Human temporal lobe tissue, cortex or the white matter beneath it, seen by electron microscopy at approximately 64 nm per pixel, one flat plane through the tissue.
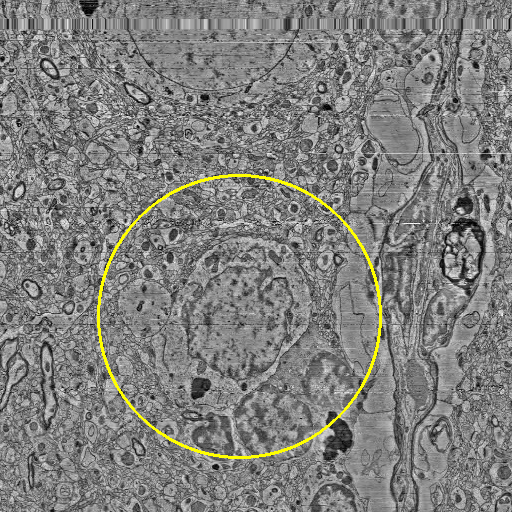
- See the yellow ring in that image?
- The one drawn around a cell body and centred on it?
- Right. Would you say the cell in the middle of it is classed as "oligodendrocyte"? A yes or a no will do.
no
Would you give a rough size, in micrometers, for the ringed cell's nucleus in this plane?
About 7 micrometers across, in this plane.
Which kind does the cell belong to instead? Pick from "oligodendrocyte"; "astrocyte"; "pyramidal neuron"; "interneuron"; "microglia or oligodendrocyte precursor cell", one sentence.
At the centre of the ring sits an interneuron.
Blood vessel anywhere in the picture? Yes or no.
Yes, a vessel appears in the picture.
